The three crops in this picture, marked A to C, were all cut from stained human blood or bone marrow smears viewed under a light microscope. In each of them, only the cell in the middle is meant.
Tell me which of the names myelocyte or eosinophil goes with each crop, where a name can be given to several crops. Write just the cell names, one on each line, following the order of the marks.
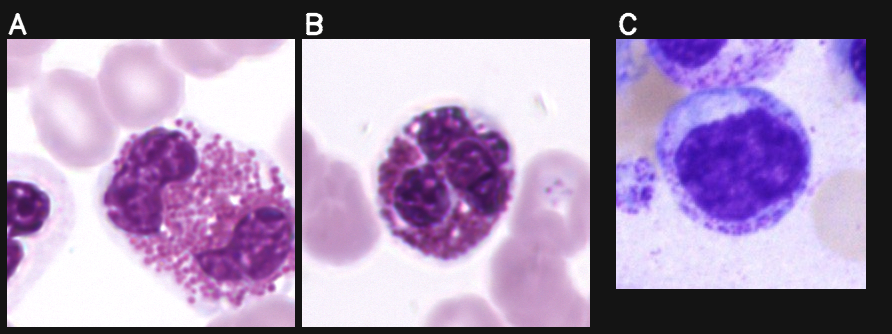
eosinophil
eosinophil
myelocyte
